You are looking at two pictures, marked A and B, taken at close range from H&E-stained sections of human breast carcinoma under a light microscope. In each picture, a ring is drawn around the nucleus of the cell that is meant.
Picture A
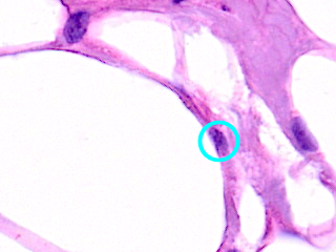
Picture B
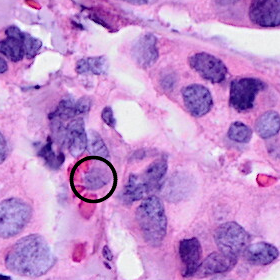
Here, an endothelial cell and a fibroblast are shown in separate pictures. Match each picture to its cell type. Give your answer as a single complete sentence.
In picture A the cell is a fibroblast; in picture B, an endothelial cell.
